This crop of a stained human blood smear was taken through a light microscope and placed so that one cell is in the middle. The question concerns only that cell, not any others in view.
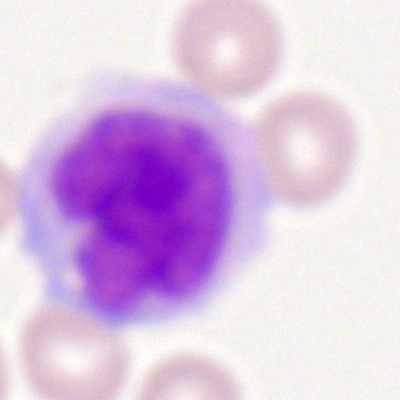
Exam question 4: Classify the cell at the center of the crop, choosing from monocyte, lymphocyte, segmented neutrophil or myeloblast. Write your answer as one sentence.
To answer, the cell in the center of the crop is a monocyte.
